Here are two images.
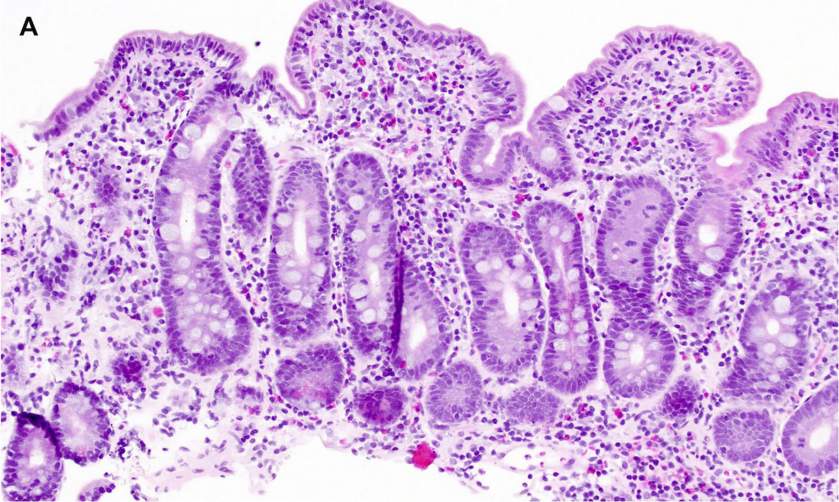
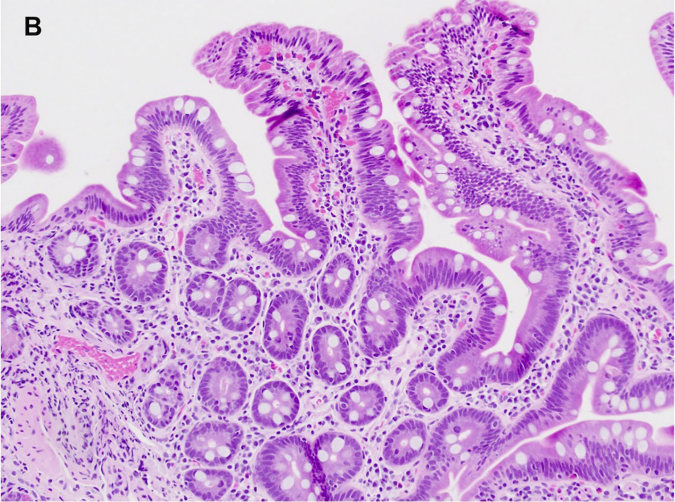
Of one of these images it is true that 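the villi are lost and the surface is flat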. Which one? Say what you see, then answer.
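Second image: tall, slender villi rise well above the crypts. On this evidence: the first image.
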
